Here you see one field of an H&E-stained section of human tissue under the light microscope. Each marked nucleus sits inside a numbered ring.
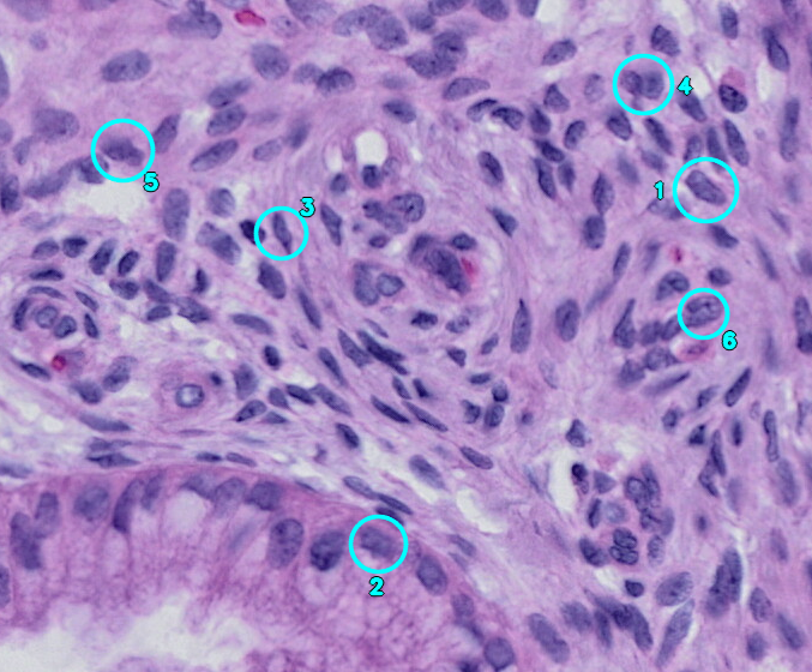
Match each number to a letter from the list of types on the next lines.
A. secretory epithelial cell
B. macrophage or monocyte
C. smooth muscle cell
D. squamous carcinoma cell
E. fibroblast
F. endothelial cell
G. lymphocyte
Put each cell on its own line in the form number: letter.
1: E
2: A
3: E
4: E
5: E
6: F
